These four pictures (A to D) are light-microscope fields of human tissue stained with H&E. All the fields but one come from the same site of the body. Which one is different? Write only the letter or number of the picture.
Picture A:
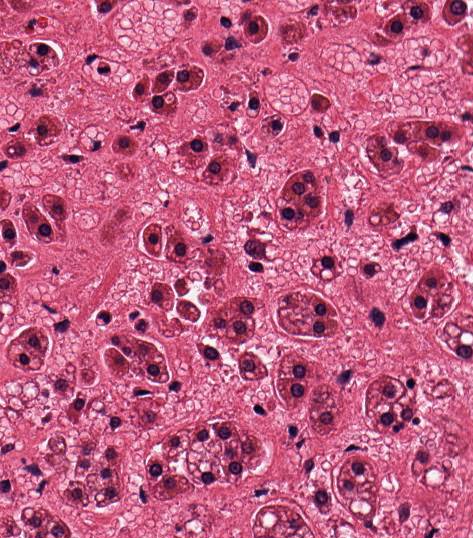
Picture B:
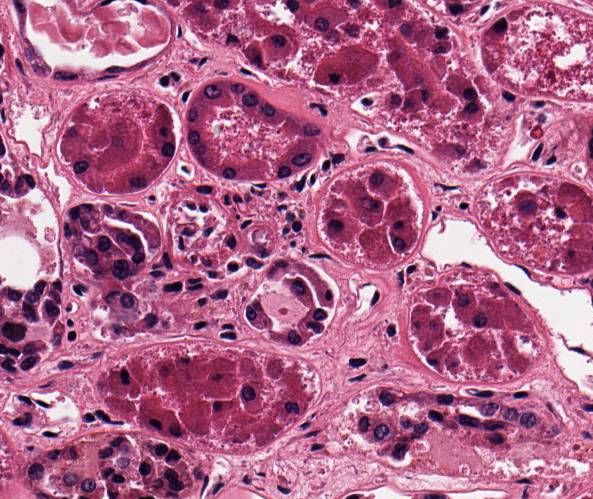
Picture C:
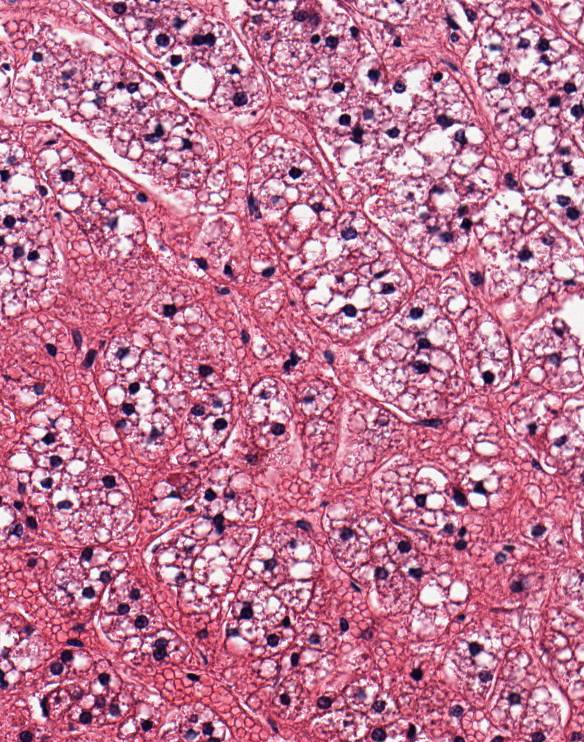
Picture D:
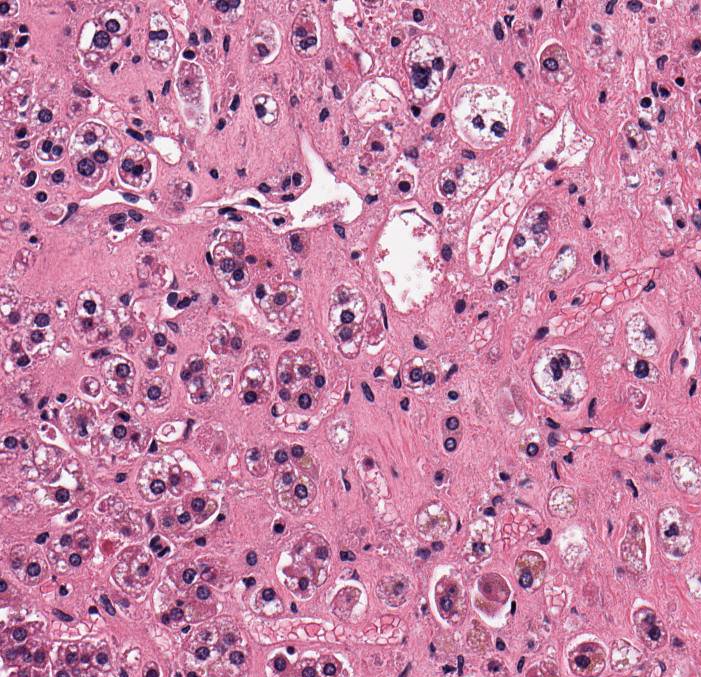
B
